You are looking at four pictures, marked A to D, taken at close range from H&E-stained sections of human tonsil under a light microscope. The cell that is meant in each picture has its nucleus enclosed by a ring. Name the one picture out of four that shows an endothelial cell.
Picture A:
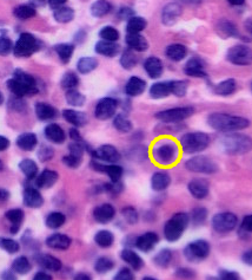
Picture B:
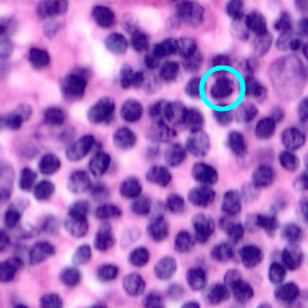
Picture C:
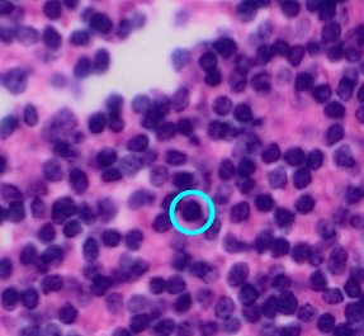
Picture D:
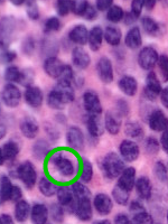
A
